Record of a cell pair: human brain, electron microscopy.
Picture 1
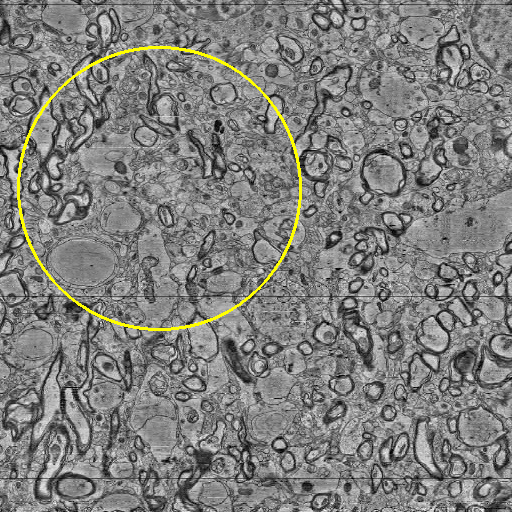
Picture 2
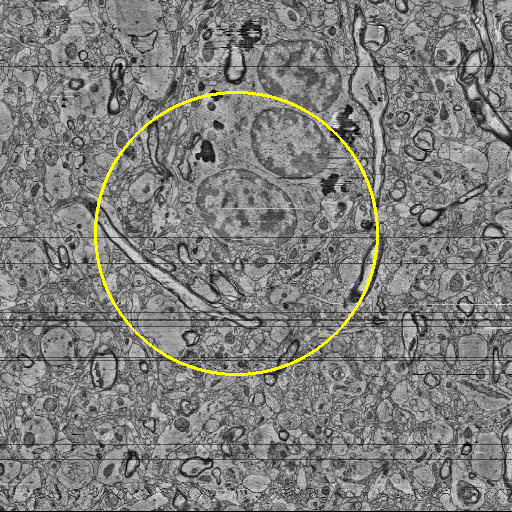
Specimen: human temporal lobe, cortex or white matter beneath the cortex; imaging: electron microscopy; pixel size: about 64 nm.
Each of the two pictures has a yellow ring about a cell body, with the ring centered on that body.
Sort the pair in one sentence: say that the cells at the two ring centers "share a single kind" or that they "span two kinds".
The cells centered in the rings of Pictures 1 and 2 span two kinds.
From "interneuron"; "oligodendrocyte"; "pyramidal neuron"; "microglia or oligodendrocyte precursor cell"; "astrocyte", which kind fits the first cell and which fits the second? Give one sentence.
The cell marked in the first picture is a microglial cell or oligodendrocyte precursor cell, and the one marked in the second is an oligodendrocyte.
